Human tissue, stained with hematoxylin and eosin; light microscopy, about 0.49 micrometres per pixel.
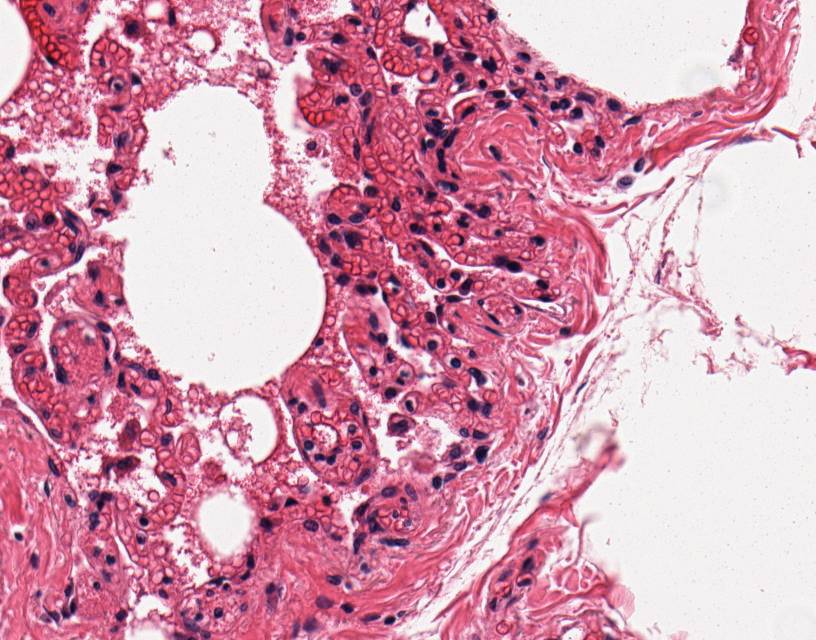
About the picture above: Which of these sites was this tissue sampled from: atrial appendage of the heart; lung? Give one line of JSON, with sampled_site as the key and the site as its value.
{"sampled_site": "lung"}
